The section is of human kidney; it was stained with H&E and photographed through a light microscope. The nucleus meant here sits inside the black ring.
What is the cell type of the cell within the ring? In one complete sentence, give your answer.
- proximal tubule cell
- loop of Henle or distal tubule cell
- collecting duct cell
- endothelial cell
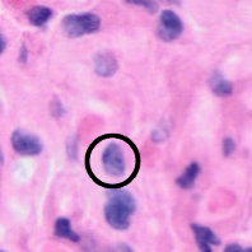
In short, the cell within the ring on this section is an endothelial cell.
